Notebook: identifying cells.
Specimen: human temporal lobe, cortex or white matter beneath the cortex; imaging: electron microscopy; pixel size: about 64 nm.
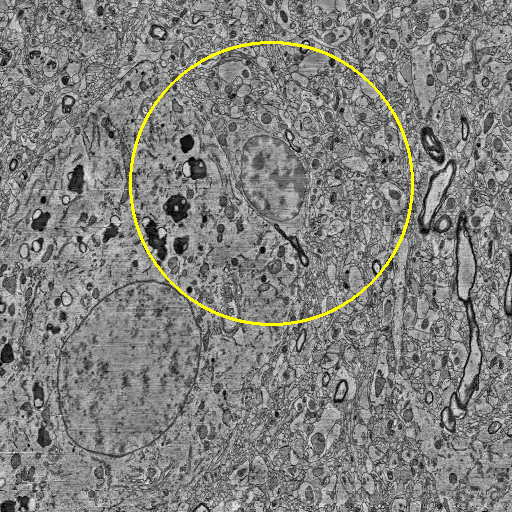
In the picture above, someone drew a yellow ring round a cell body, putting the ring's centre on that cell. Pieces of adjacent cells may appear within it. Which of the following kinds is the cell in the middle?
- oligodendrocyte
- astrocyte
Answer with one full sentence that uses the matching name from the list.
In this picture, the yellow ring is centred on the body of an oligodendrocyte.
